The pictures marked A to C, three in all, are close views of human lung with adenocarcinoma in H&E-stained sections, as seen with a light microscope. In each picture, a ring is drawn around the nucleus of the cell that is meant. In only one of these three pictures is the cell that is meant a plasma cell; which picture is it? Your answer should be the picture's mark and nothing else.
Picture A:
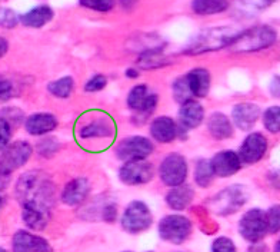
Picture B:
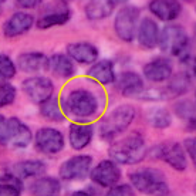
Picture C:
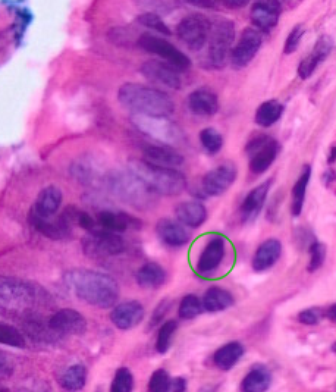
C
